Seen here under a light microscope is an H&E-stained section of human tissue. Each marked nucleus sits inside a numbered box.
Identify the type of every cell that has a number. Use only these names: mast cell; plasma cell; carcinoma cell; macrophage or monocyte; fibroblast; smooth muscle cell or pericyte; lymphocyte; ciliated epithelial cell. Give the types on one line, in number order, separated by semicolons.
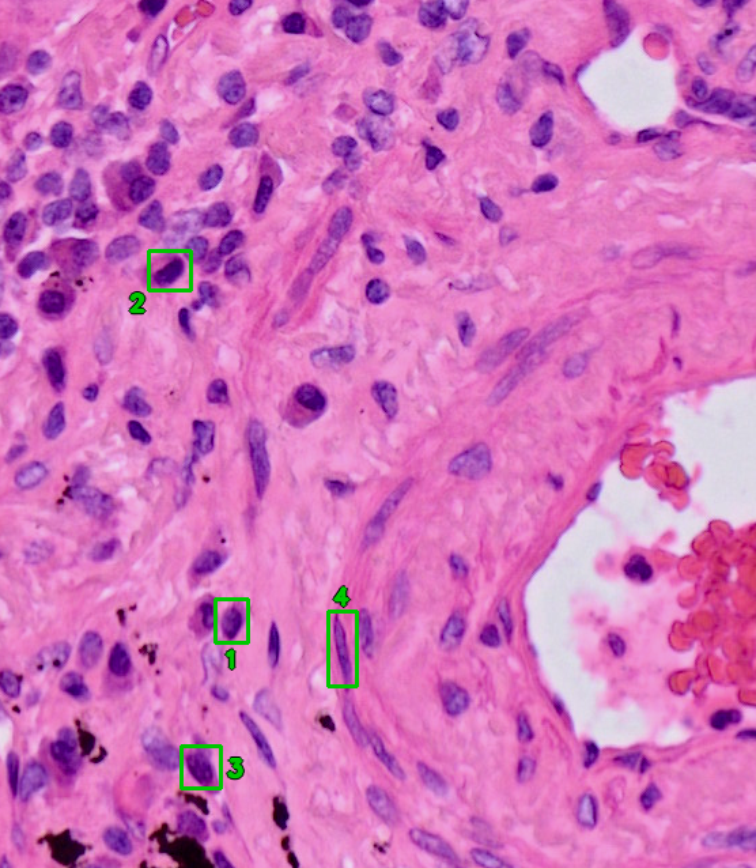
plasma cell; plasma cell; plasma cell; smooth muscle cell or pericyte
